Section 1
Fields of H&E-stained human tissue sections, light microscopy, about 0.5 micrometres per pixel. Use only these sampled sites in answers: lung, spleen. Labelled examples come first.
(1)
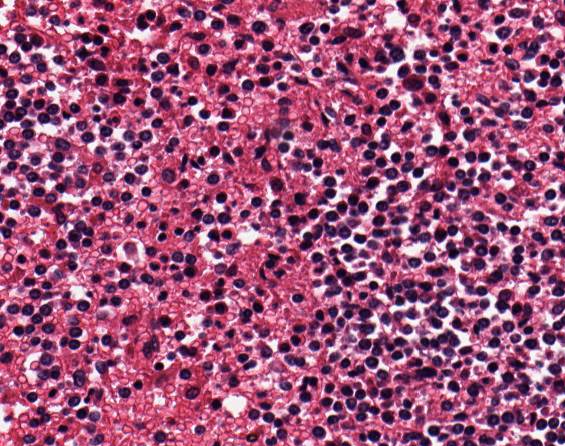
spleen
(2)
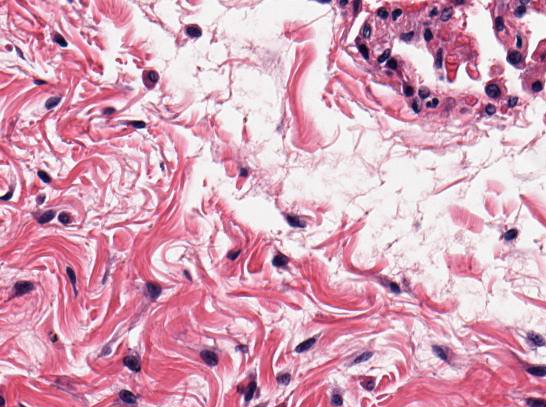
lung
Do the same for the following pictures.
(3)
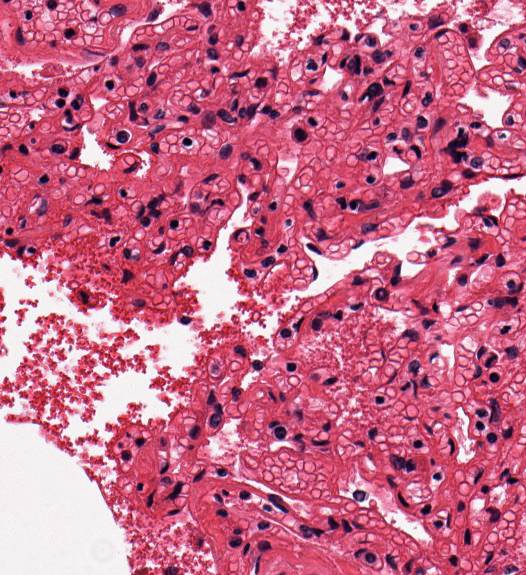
lung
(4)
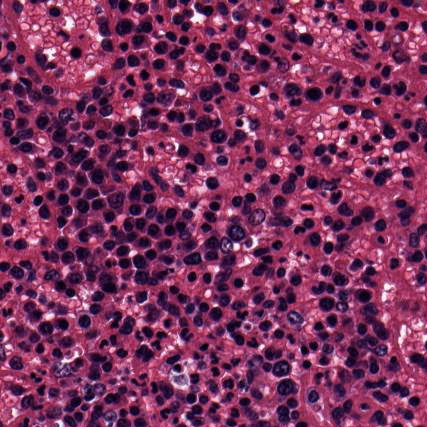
spleen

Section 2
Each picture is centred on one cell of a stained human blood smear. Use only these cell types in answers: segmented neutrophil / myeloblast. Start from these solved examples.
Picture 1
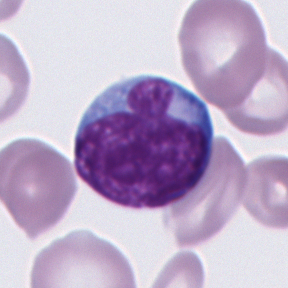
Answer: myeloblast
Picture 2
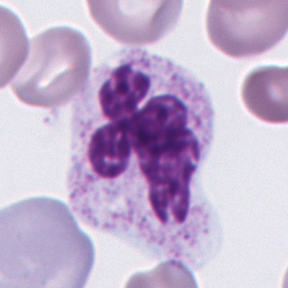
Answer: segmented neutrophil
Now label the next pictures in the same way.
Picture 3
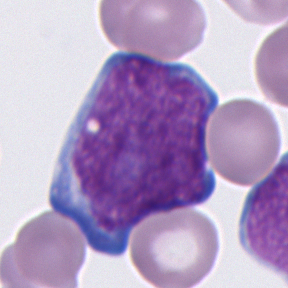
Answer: myeloblast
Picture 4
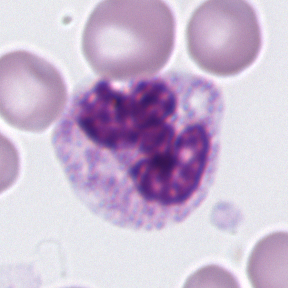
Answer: segmented neutrophil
